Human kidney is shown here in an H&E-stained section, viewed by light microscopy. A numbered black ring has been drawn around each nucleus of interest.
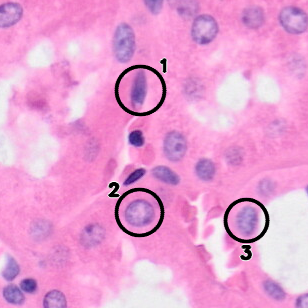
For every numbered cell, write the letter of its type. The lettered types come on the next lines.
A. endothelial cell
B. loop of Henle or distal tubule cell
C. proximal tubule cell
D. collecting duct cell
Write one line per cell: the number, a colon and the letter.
1: A
2: C
3: B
